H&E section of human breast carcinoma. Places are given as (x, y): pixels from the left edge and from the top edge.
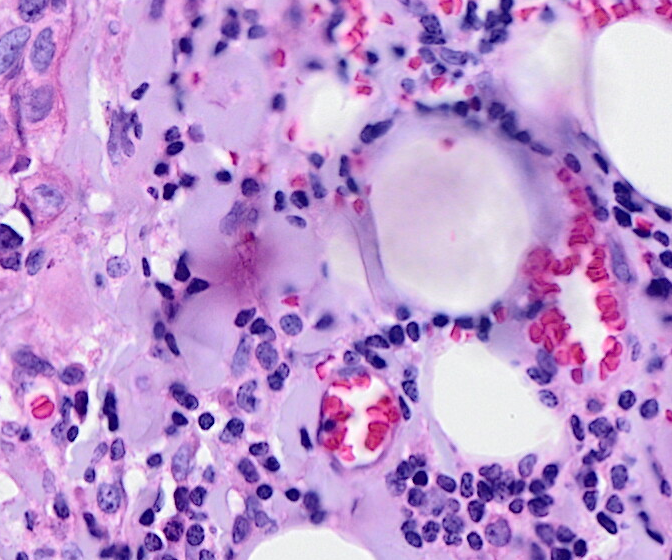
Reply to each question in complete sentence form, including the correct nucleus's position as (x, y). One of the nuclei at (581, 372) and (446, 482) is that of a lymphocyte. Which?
The nucleus at (446, 482) is contained in a lymphocyte.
